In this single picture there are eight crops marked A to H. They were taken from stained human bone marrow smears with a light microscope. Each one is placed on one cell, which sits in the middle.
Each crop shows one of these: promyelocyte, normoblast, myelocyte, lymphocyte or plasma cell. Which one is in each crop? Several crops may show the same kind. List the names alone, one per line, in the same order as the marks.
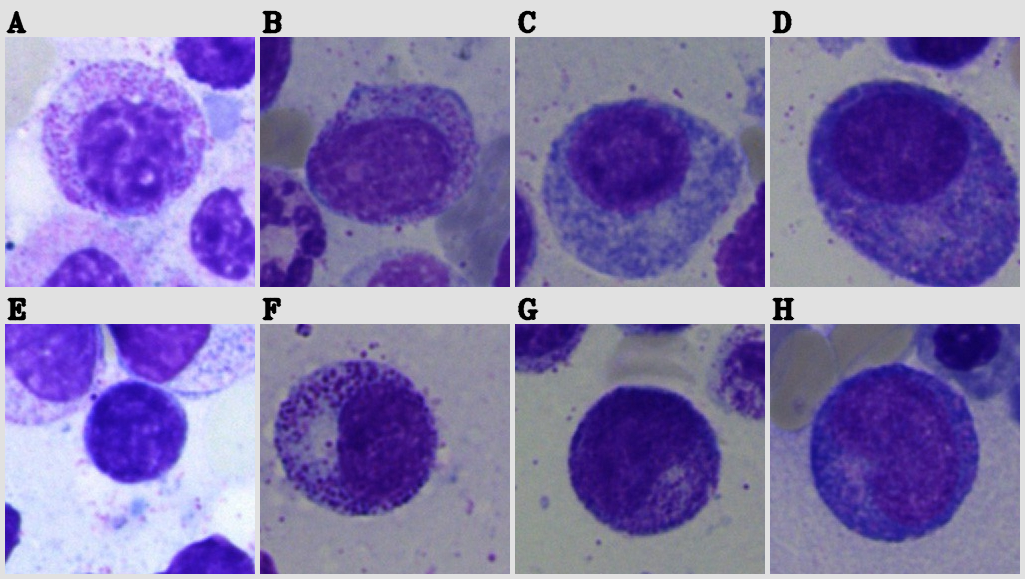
myelocyte
myelocyte
myelocyte
promyelocyte
lymphocyte
myelocyte
myelocyte
promyelocyte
